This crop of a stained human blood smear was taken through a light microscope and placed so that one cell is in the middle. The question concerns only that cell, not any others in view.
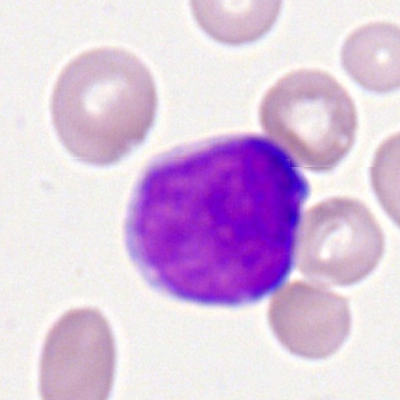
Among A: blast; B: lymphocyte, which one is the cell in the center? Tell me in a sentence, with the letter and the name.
Option A correctly names the cell in the middle as a blast.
